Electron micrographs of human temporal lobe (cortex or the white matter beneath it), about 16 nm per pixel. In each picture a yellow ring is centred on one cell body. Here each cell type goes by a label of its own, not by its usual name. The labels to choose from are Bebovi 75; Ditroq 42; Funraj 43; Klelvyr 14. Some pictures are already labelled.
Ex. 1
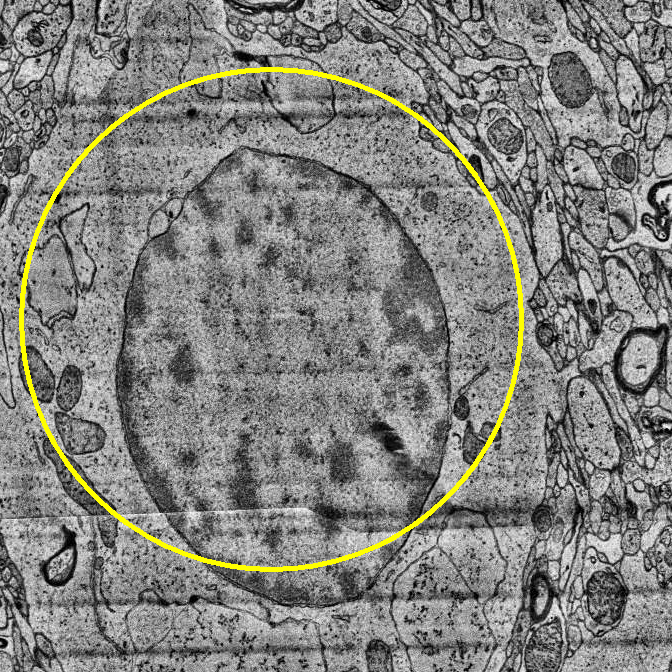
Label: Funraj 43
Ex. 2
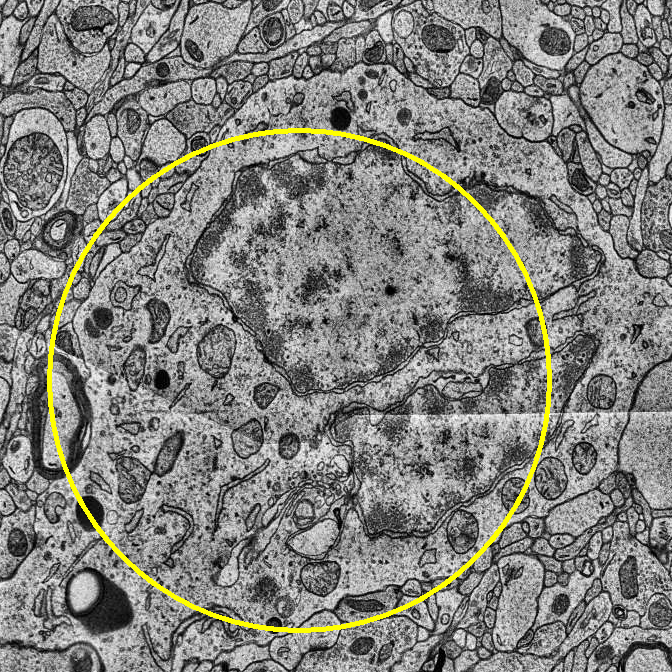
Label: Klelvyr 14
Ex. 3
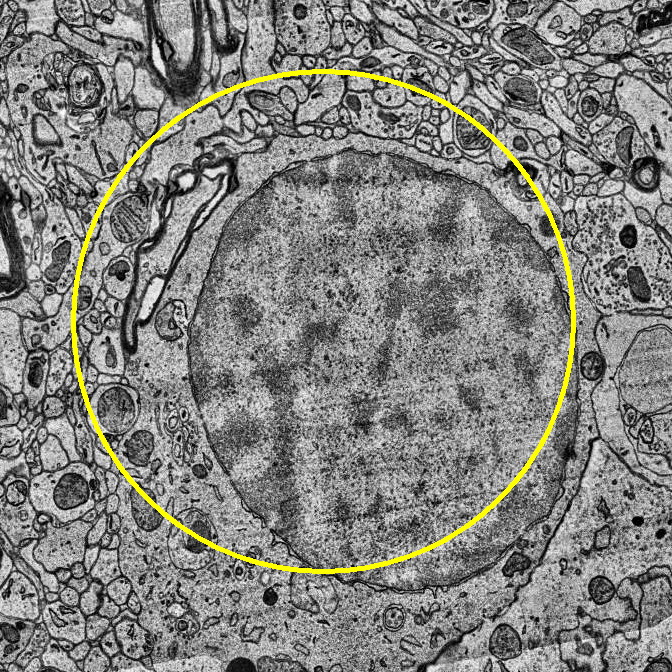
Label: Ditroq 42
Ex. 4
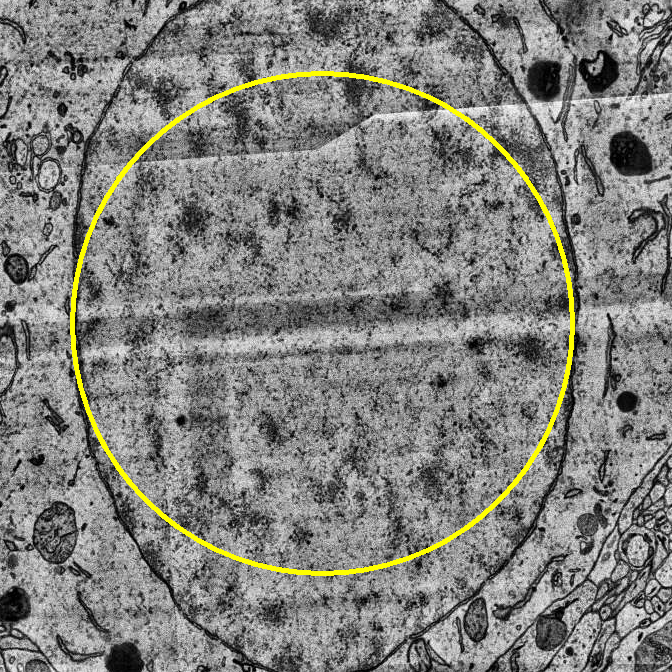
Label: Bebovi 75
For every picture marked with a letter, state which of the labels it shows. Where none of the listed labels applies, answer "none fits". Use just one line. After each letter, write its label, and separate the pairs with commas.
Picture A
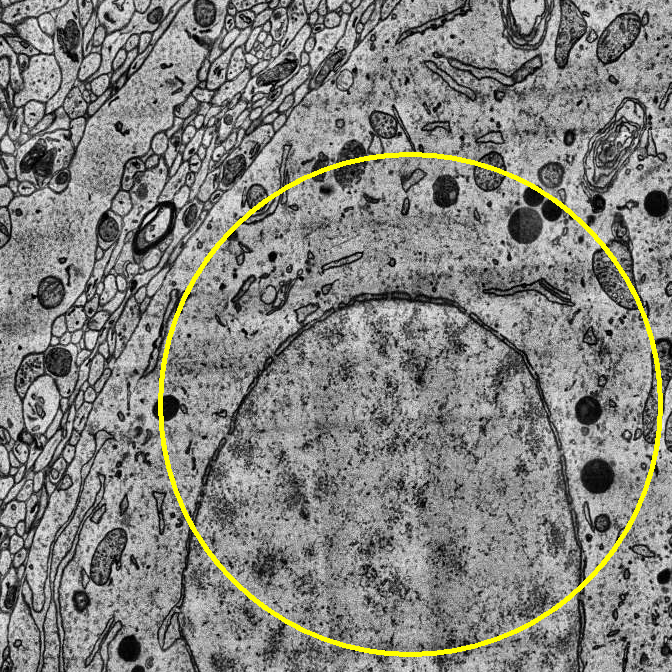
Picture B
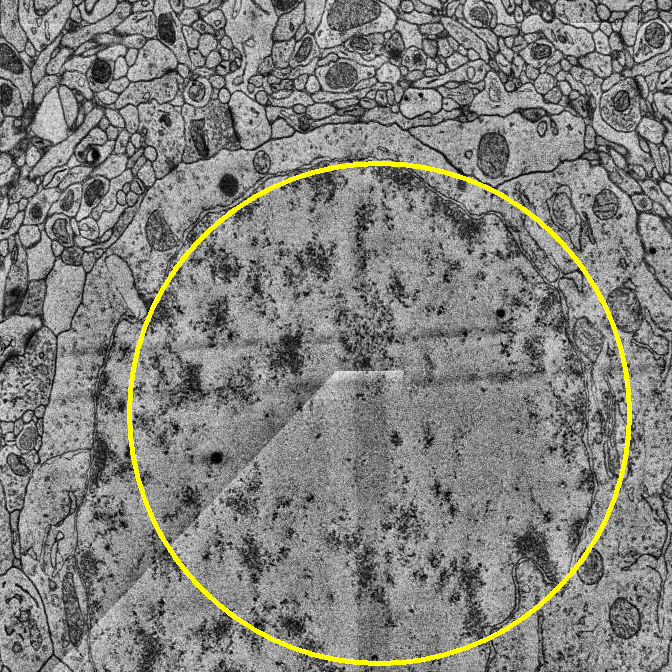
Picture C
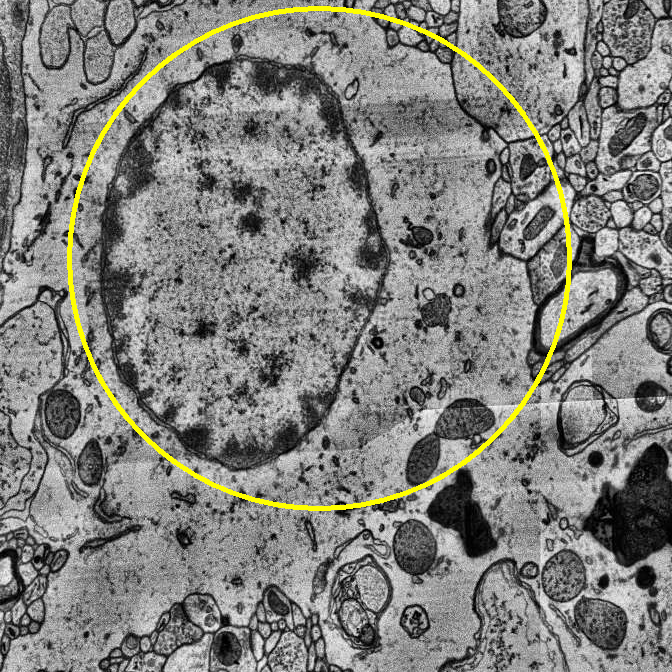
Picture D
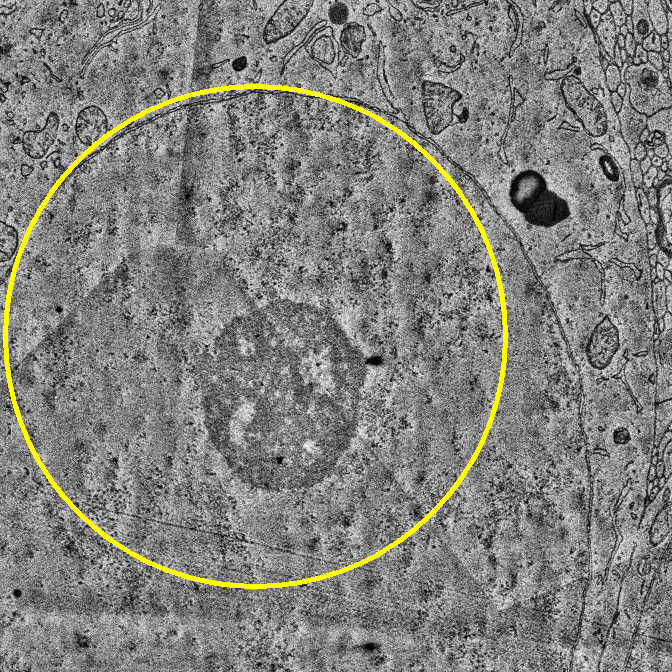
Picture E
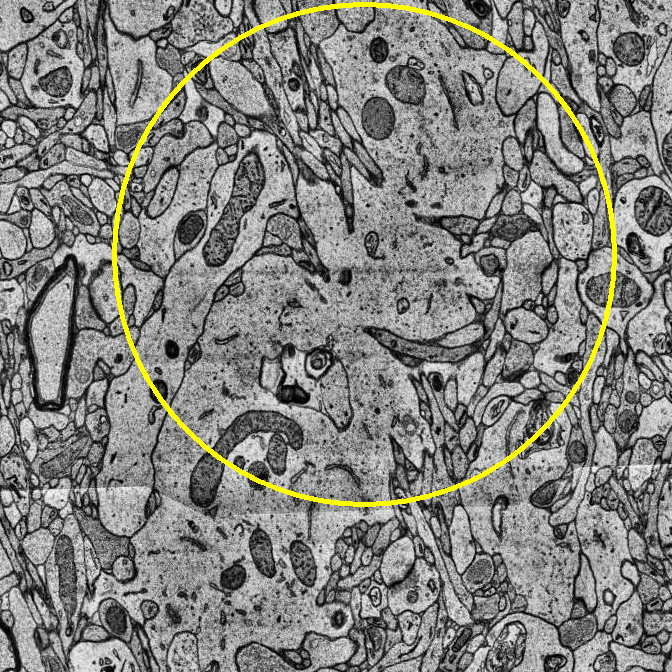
A Bebovi 75, B Klelvyr 14, C Funraj 43, D Bebovi 75, E Funraj 43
